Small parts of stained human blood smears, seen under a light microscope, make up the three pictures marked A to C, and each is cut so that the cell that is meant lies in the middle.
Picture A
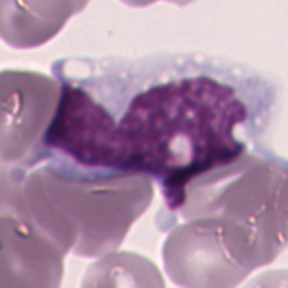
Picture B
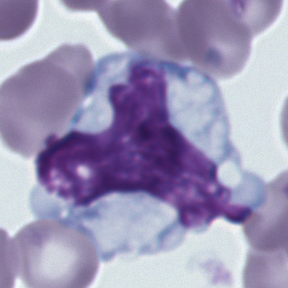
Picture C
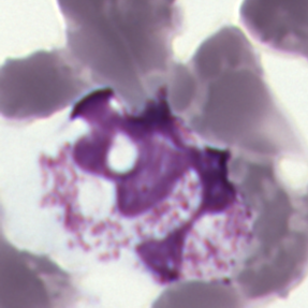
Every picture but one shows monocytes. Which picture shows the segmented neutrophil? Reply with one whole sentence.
Picture C shows the segmented neutrophil.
